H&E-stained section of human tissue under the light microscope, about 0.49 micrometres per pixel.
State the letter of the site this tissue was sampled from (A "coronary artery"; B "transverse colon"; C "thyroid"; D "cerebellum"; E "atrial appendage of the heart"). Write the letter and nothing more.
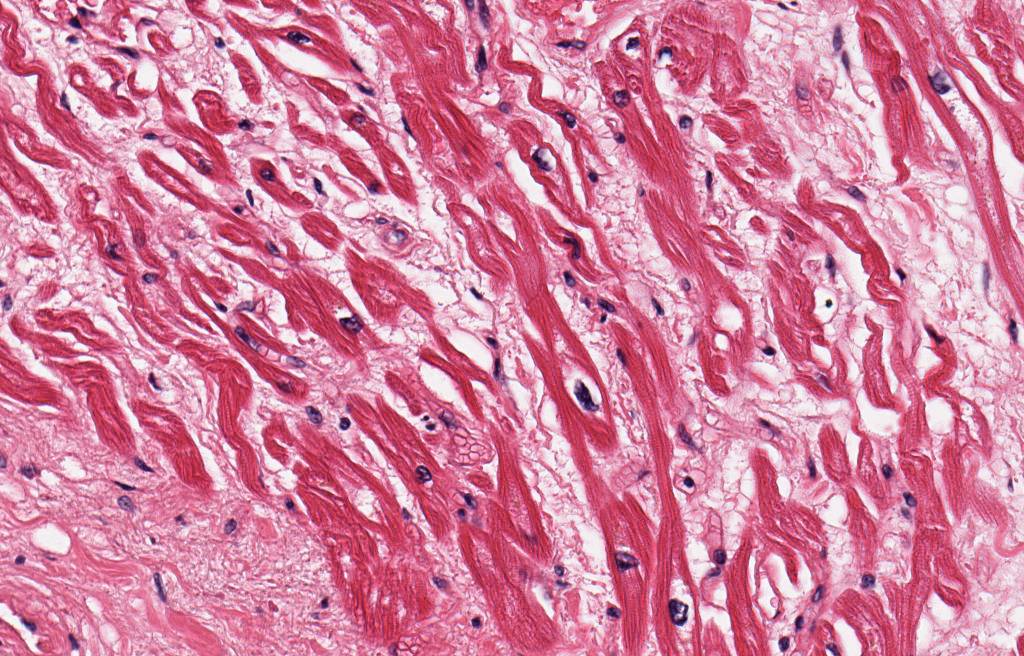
E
